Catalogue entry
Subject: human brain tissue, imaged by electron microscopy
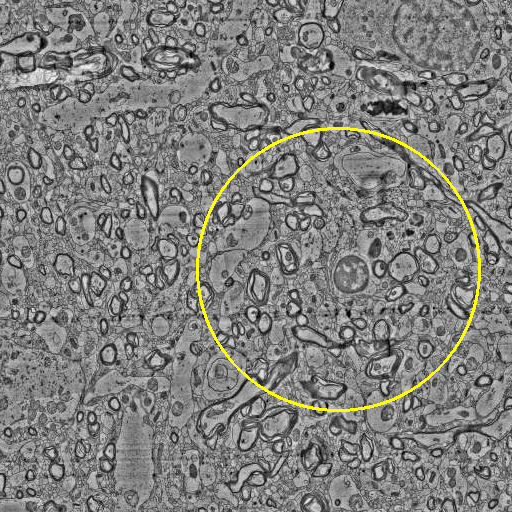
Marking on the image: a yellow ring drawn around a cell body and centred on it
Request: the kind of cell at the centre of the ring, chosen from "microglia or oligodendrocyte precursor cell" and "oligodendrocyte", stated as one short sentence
The ring has a microglial cell or oligodendrocyte precursor cell at its centre.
